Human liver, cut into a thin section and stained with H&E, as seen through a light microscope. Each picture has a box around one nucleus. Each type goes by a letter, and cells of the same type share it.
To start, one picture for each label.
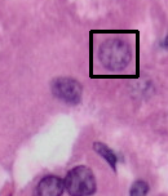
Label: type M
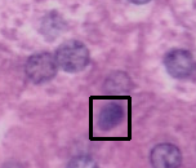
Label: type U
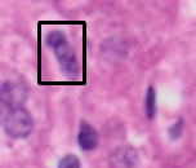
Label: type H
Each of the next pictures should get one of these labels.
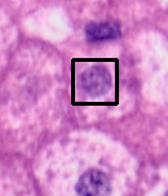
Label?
type M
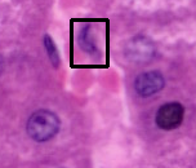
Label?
type H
